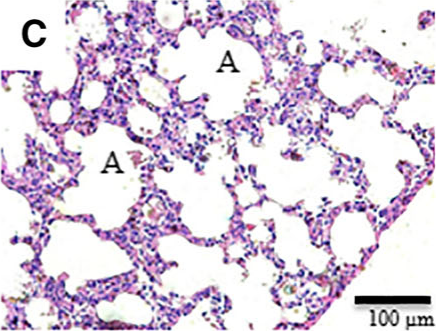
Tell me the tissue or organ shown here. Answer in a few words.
Lung.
